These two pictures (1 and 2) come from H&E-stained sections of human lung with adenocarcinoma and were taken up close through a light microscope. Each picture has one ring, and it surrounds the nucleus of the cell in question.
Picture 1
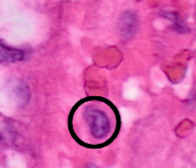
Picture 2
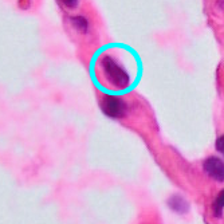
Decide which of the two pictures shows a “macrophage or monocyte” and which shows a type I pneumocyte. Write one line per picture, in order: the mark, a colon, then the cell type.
1: macrophage or monocyte
2: type I pneumocyte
